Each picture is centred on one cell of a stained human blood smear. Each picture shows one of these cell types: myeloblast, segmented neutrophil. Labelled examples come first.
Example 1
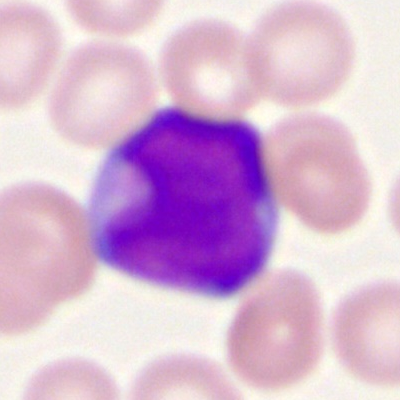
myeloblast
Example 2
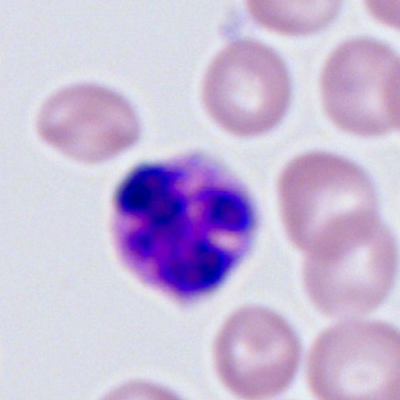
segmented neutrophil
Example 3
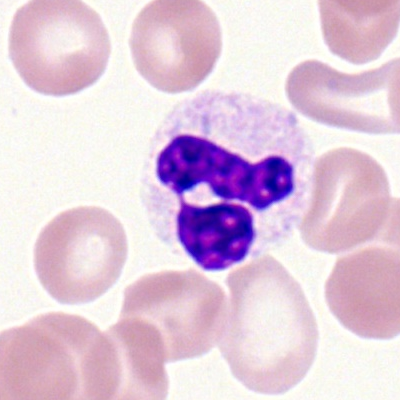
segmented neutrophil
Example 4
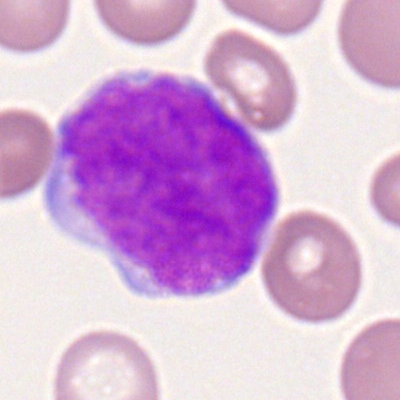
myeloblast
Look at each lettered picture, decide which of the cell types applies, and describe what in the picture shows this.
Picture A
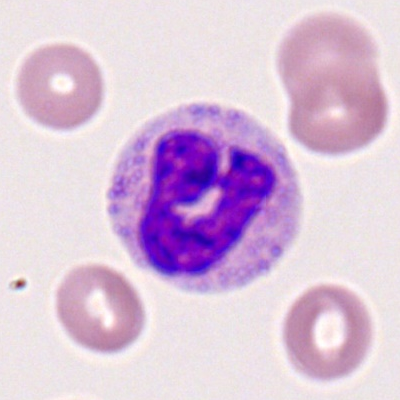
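segmented neutrophil: The nucleus is a single curved mass bent into a U shape, with its notch opening toward the top.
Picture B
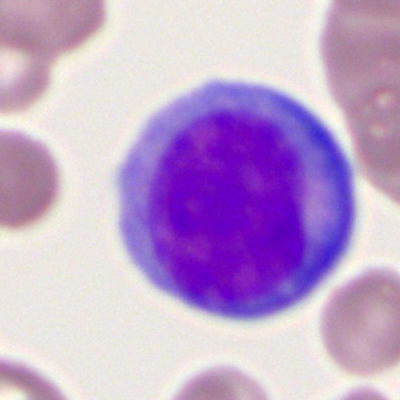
myeloblast: The nucleus fills most of the cell.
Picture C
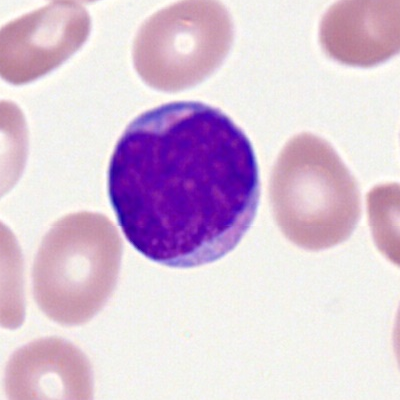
myeloblast: The cytoplasm is a scant pale blue rim, widest as crescents at the top and lower right.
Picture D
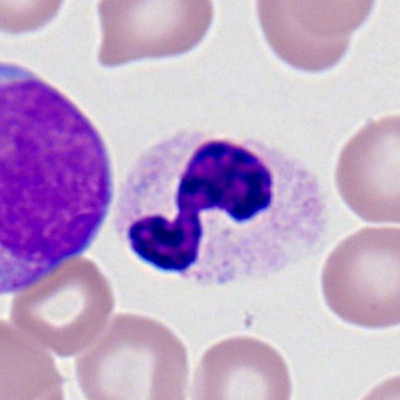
segmented neutrophil: The cytoplasm is abundant and pale pinkish-lilac.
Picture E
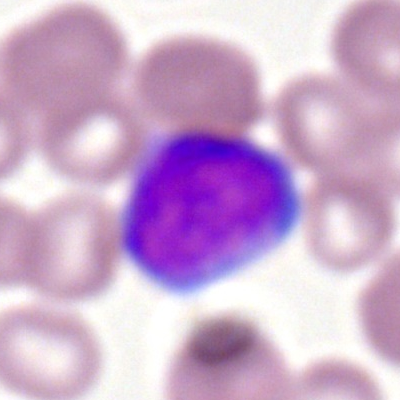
myeloblast: The nucleus is a single unlobed mass that fills most of the cell.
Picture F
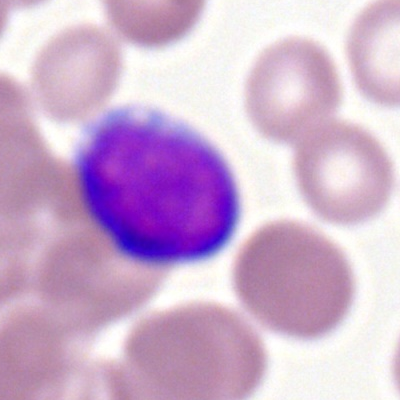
myeloblast: The nucleus fills almost the whole cell.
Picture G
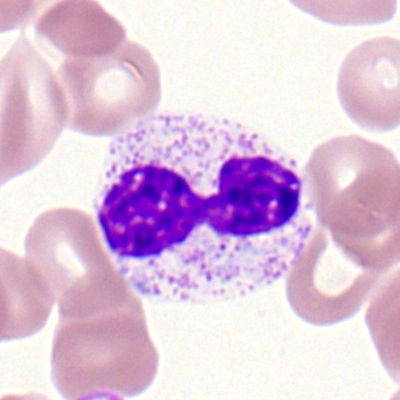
segmented neutrophil: The cytoplasm is plentiful and very pale, almost colourless.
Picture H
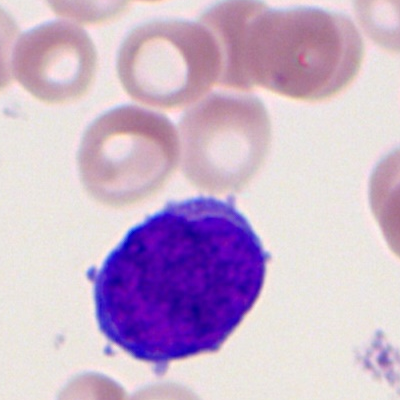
myeloblast: The nucleus fills almost the whole cell.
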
